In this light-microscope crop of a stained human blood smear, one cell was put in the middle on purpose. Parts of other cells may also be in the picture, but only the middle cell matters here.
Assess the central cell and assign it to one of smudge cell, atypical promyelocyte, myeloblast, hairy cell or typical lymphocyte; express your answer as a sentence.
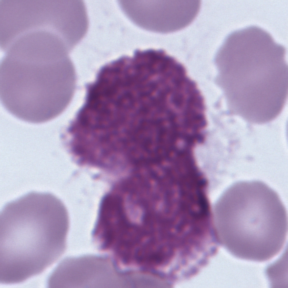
In the centre of this crop there is a smudge cell.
